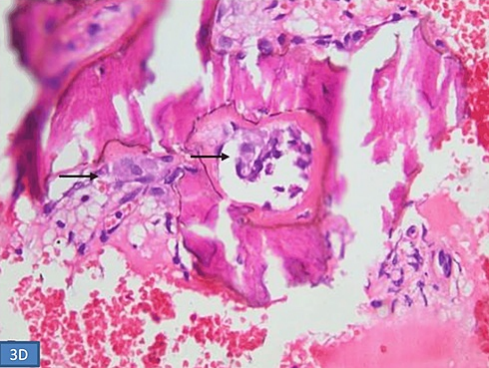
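Fragments of pink bone with areas of bone resorption, where large multinucleated cells with clustered purple nuclei lie in scalloped hollows along the bone surface. The bone edges next to these cells are irregular and eroded. Loose pale stroma with scattered nuclei lies between the bone pieces, and red blood cells fill the surrounding space.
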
